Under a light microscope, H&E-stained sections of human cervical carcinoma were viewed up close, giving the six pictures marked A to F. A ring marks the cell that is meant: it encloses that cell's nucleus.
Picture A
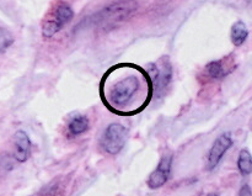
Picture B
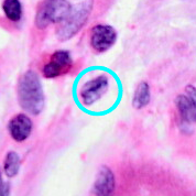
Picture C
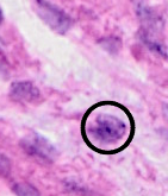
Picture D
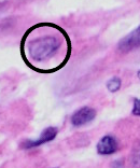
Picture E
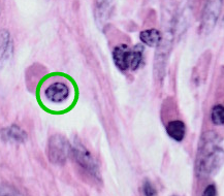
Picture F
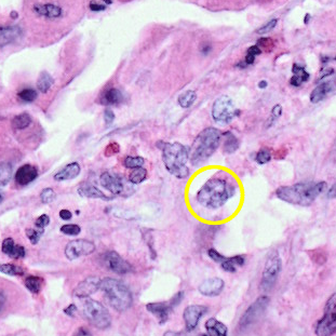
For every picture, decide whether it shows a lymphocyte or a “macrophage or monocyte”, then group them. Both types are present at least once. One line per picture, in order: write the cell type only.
macrophage or monocyte
lymphocyte
macrophage or monocyte
macrophage or monocyte
lymphocyte
macrophage or monocyte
